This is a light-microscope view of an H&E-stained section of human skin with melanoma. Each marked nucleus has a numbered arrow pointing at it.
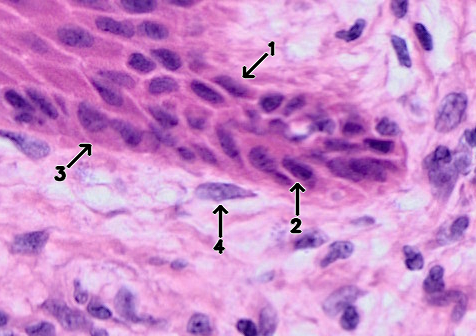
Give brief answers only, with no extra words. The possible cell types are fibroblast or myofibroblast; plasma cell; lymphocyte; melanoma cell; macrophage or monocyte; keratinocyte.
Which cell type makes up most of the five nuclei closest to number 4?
keratinocyte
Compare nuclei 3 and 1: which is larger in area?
3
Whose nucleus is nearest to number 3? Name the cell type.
keratinocyte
